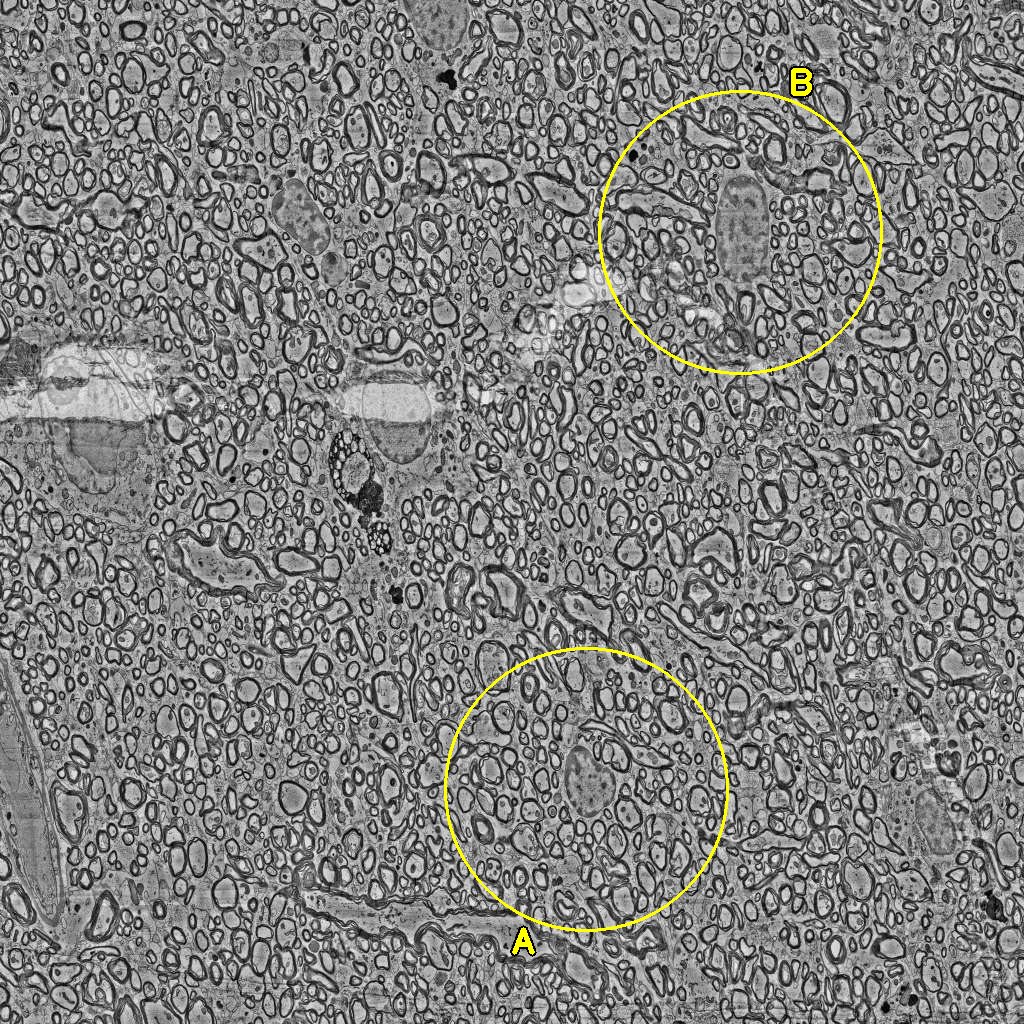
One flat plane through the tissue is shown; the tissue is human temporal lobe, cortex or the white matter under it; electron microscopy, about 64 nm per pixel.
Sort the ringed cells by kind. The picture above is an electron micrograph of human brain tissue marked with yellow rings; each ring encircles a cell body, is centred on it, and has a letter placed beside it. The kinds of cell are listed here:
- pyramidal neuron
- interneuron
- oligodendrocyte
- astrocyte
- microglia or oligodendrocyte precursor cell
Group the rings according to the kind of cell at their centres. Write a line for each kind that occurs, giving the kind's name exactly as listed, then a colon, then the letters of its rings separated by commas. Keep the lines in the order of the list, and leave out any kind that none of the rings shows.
oligodendrocyte: B
microglia or oligodendrocyte precursor cell: A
